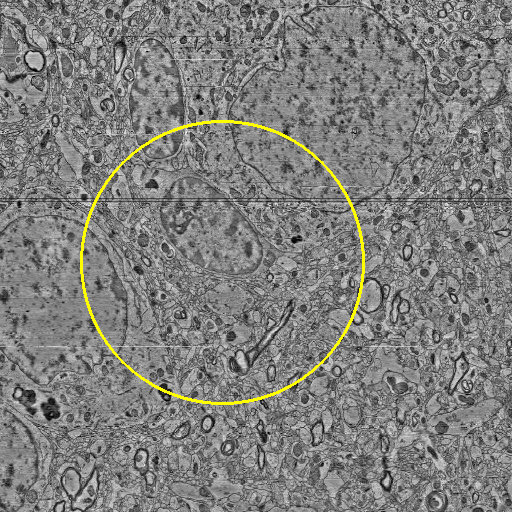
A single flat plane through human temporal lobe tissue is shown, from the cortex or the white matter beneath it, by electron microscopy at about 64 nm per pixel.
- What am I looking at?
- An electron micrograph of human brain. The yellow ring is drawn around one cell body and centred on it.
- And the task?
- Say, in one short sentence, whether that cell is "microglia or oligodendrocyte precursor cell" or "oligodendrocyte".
The cell in the middle of the ring is an oligodendrocyte.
